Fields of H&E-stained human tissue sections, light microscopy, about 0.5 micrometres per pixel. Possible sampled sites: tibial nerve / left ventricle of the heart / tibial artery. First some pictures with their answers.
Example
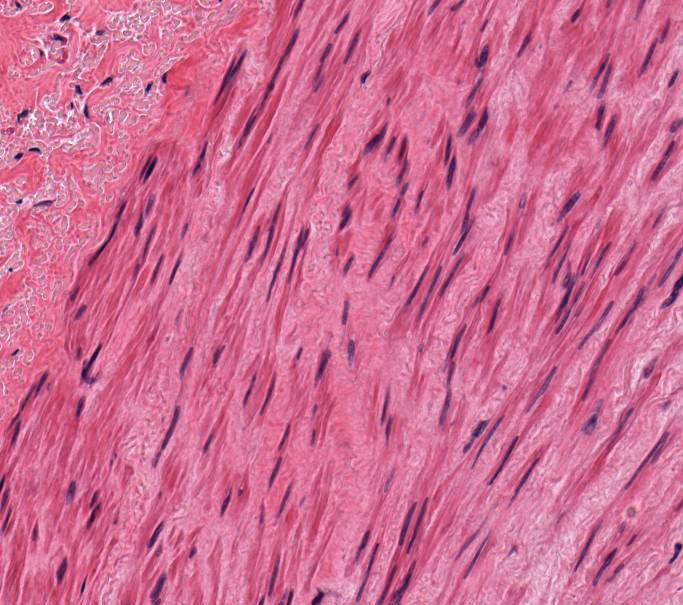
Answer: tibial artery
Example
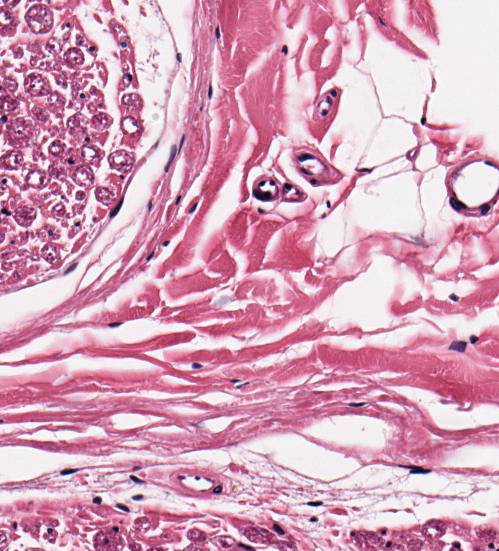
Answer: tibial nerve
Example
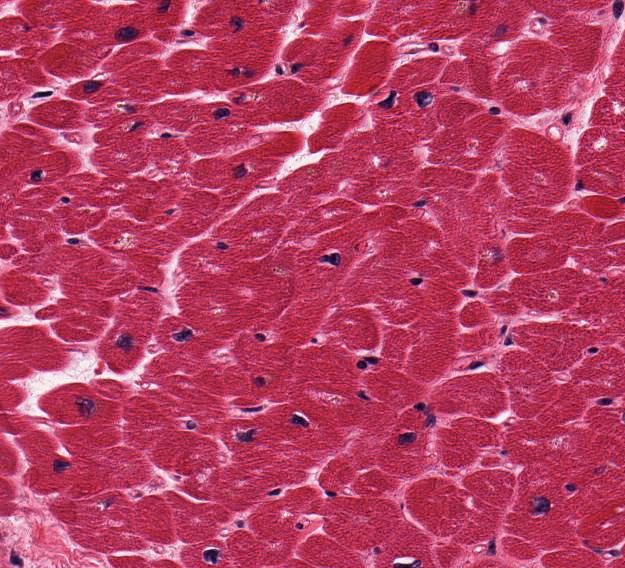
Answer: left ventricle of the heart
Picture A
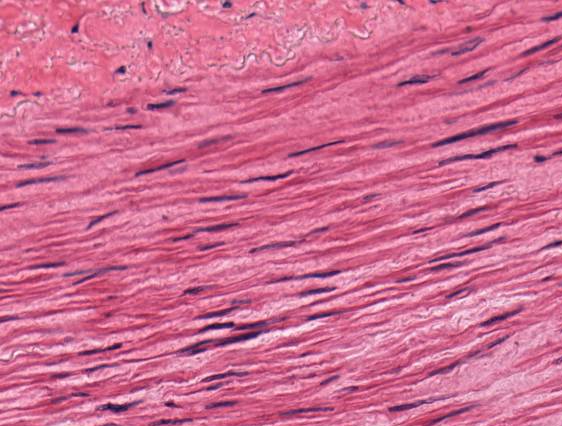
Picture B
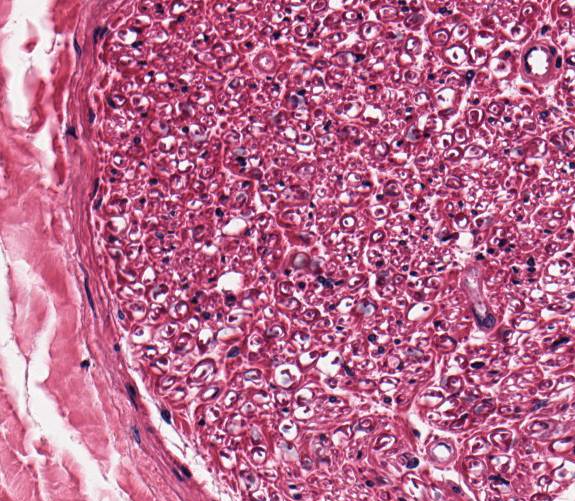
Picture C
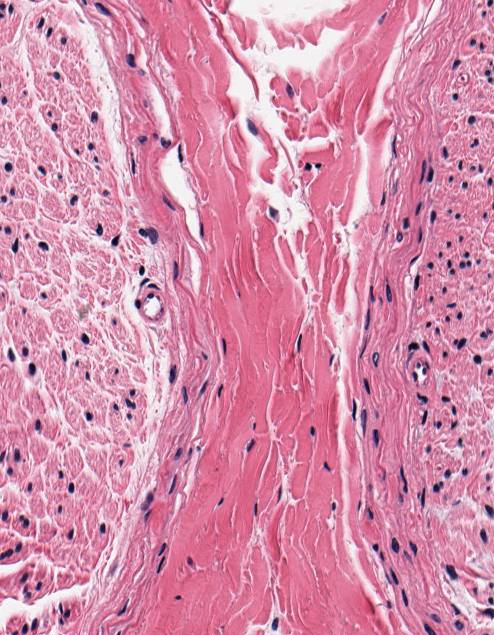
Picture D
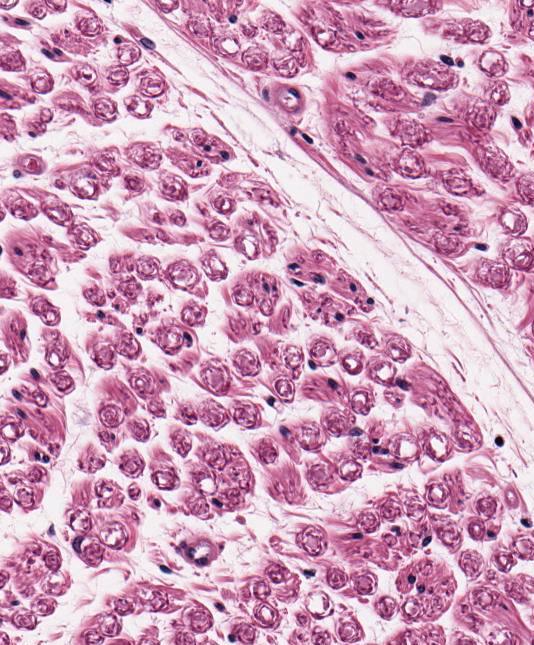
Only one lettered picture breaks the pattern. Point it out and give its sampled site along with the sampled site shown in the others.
Odd one out: A (tibial artery). The rest: tibial nerve.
